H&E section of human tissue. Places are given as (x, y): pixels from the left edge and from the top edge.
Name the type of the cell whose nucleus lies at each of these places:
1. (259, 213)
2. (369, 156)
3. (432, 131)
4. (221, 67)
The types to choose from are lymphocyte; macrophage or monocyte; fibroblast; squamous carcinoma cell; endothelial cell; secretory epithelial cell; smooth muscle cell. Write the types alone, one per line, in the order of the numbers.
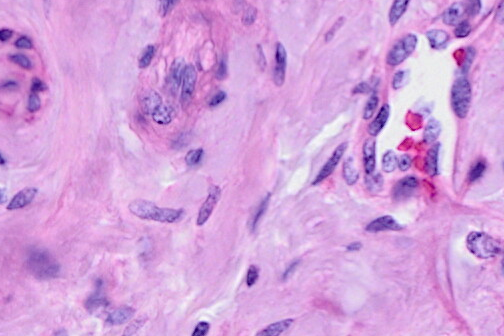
fibroblast
endothelial cell
endothelial cell
smooth muscle cell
